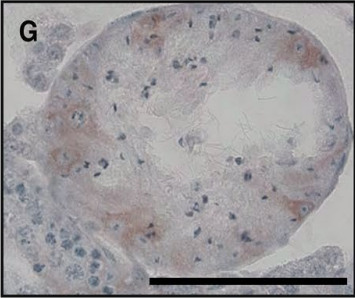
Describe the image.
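This is a single seminiferous tubule cut in cross section, seen at higher power. Scattered small, dark, elongated nuclei lie through the epithelium and toward the lumen, with few large round nuclei among them. Broad patches of brown stain lie in the cytoplasm of the epithelium, mostly toward the outer part of the tubule, in contrast to the largely blue neighbouring tissue at the edges of the view.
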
